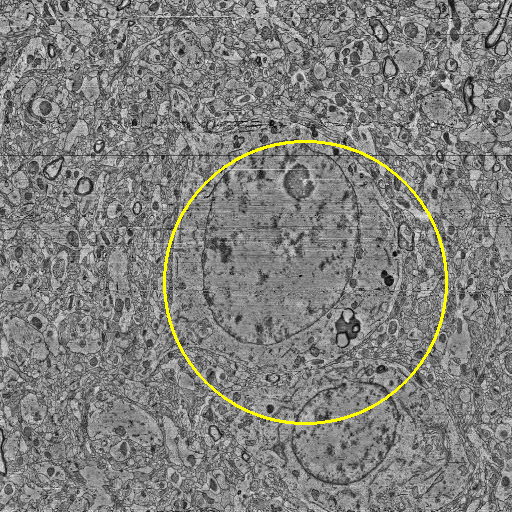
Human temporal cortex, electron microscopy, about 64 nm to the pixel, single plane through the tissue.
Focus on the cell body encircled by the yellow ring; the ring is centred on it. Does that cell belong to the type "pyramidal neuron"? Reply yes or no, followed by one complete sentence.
Yes, that type fits the cell lying at the centre of the ring in the picture.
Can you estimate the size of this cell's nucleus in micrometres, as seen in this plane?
In this plane the nucleus measures roughly 14 by 10 micrometers.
